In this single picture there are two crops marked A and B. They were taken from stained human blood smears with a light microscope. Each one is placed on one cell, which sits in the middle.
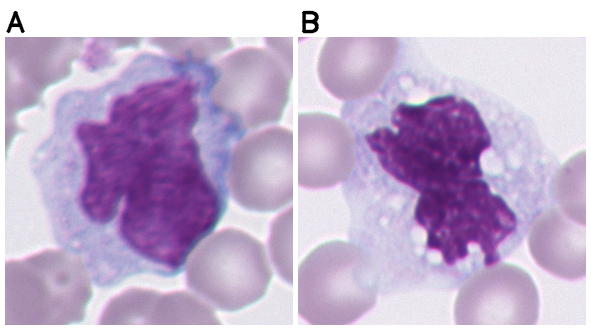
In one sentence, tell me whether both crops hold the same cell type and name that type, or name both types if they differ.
Yes, both crops show monocytes as the central cells.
